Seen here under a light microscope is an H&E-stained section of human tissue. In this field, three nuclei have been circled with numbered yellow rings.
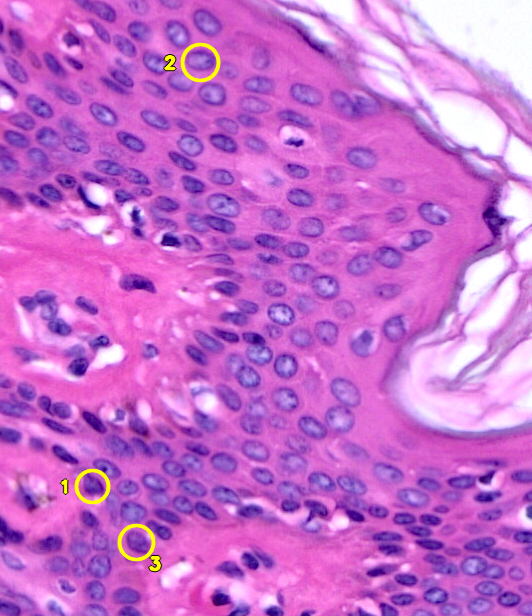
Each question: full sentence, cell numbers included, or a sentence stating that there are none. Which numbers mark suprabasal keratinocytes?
The only cell among those numbered to be a suprabasal keratinocyte is number 2.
